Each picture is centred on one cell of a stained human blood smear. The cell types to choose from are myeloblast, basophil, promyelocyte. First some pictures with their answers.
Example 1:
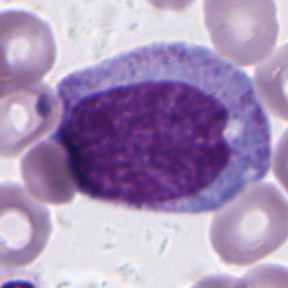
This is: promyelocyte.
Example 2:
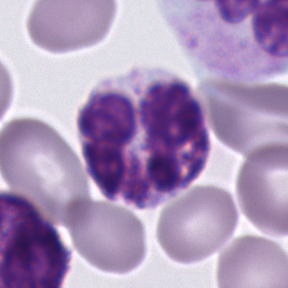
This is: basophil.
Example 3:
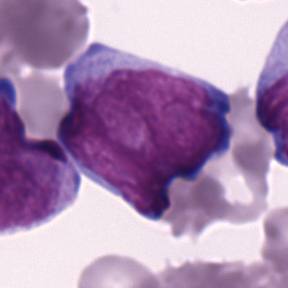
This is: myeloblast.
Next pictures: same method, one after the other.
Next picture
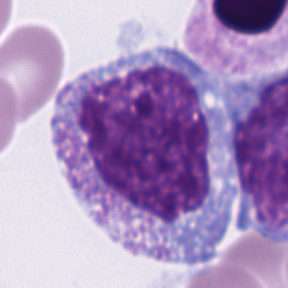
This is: promyelocyte.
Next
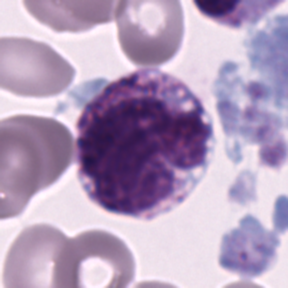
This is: basophil.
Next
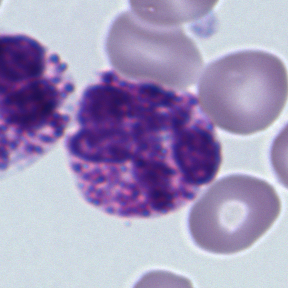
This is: basophil.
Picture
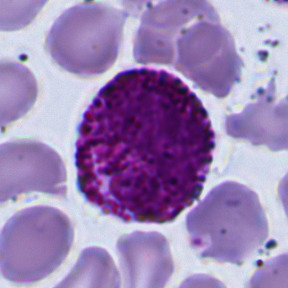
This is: basophil.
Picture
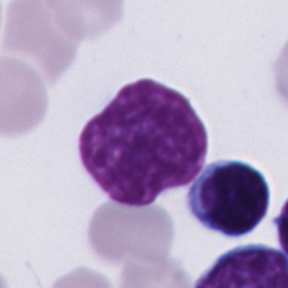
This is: myeloblast.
